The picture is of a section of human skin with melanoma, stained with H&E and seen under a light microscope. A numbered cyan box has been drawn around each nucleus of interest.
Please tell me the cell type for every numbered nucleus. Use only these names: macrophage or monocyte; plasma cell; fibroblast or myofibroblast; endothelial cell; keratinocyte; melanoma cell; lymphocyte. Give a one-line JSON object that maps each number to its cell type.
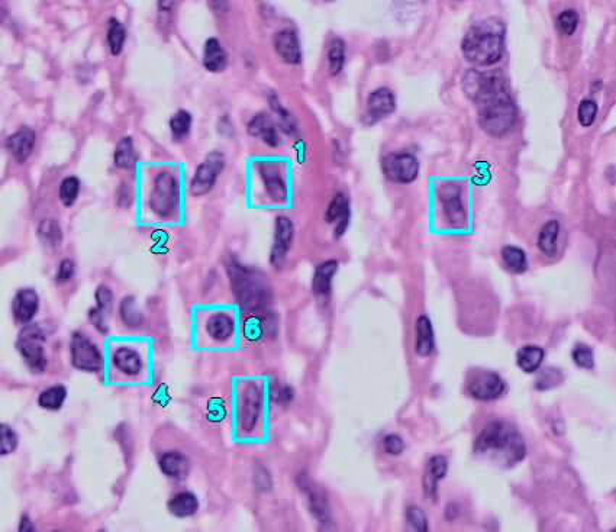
{"1": "macrophage or monocyte", "2": "macrophage or monocyte", "3": "macrophage or monocyte", "4": "lymphocyte", "5": "macrophage or monocyte", "6": "lymphocyte"}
